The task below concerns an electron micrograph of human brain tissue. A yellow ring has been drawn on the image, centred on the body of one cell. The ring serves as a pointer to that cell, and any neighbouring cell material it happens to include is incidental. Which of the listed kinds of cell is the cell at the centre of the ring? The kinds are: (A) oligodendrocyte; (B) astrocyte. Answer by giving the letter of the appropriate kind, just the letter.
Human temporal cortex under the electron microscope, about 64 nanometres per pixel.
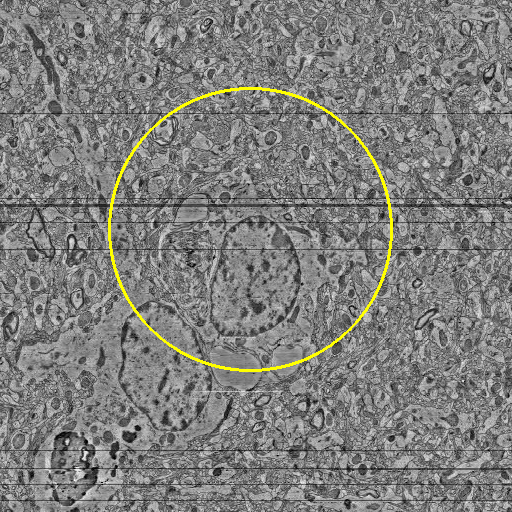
B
